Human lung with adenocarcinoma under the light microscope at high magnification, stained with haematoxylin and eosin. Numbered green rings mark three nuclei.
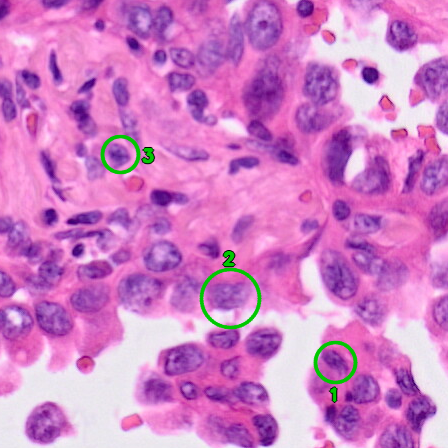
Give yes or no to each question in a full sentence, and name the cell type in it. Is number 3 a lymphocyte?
Yes, correct, the cell with the number 3 is a lymphocyte.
